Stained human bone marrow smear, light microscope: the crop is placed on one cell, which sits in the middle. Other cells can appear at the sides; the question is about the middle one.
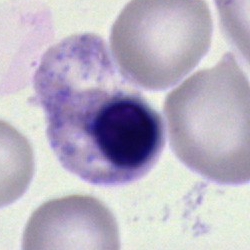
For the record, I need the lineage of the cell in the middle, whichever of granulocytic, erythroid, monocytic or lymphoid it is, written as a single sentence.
In terms of lineage, the cell in the middle is erythroid.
